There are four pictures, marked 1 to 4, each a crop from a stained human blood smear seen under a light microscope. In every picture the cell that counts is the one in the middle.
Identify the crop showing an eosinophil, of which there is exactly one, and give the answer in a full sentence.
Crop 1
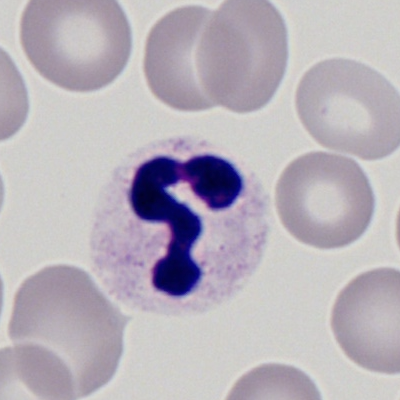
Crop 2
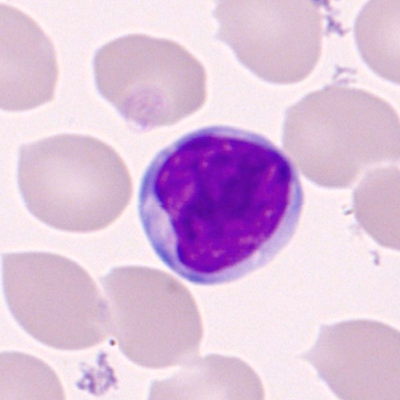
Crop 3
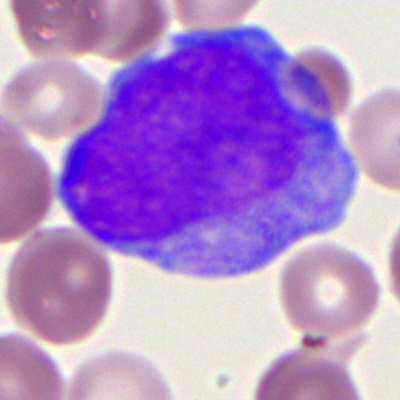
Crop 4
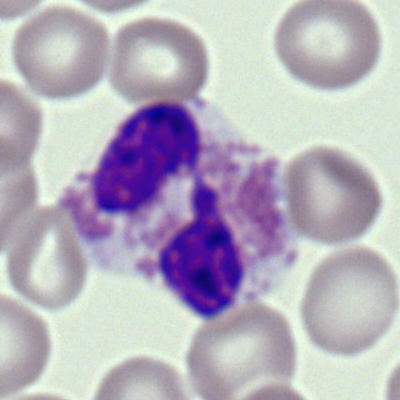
Crop 4 is the one that shows an eosinophil.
